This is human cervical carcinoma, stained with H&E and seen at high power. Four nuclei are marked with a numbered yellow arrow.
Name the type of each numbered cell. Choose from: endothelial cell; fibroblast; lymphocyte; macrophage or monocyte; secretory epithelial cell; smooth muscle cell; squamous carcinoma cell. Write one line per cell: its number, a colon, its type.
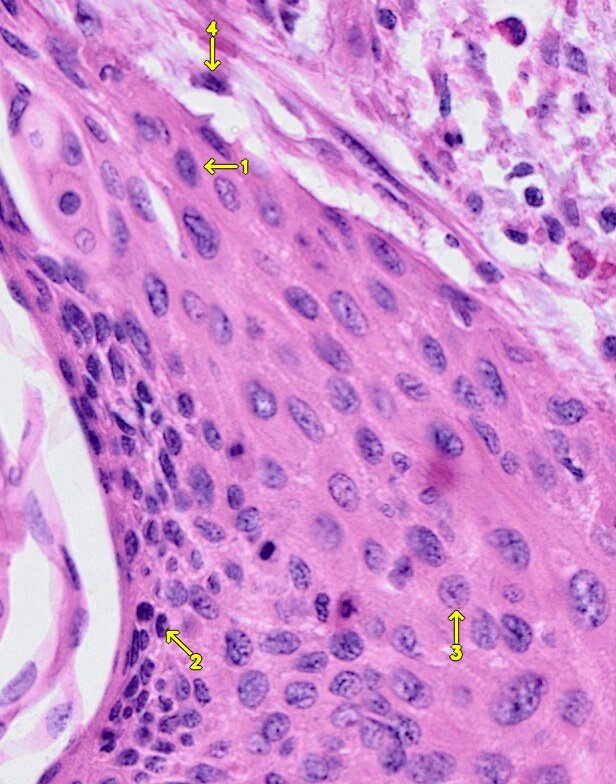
1: squamous carcinoma cell
2: squamous carcinoma cell
3: squamous carcinoma cell
4: macrophage or monocyte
